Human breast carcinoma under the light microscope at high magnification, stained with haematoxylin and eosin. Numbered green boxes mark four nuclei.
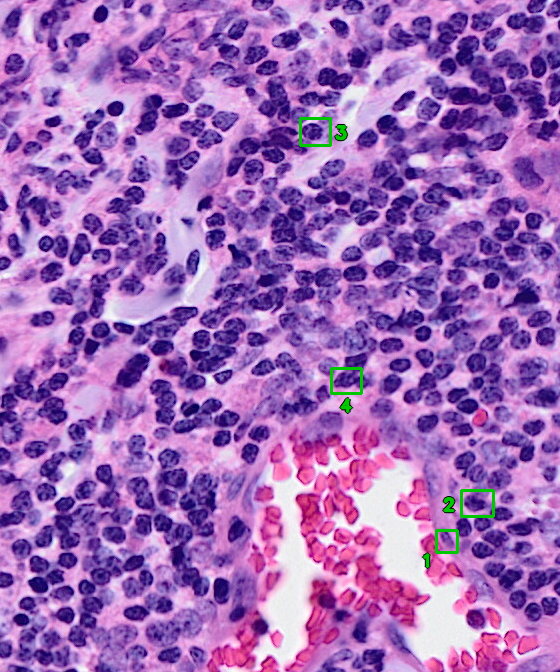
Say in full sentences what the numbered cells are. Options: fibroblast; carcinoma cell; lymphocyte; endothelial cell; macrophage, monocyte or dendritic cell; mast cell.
Cell 1 is an endothelial cell. Cells 2, 3 and 4 are lymphocytes.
